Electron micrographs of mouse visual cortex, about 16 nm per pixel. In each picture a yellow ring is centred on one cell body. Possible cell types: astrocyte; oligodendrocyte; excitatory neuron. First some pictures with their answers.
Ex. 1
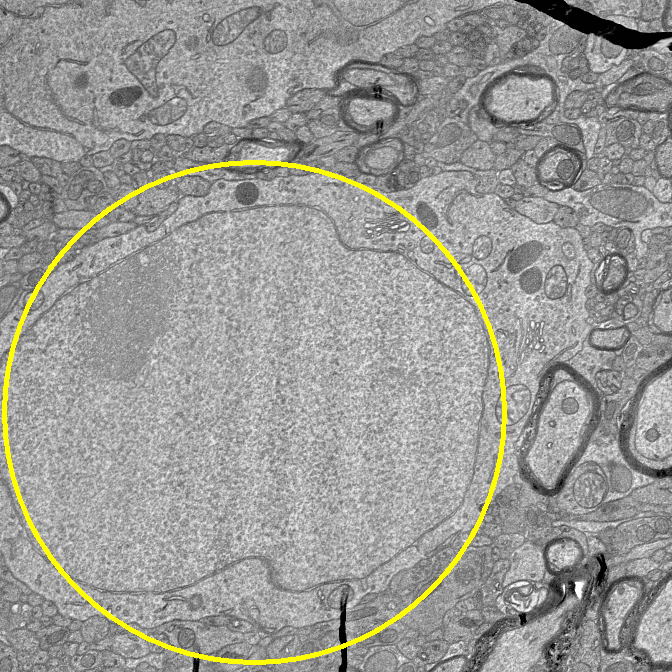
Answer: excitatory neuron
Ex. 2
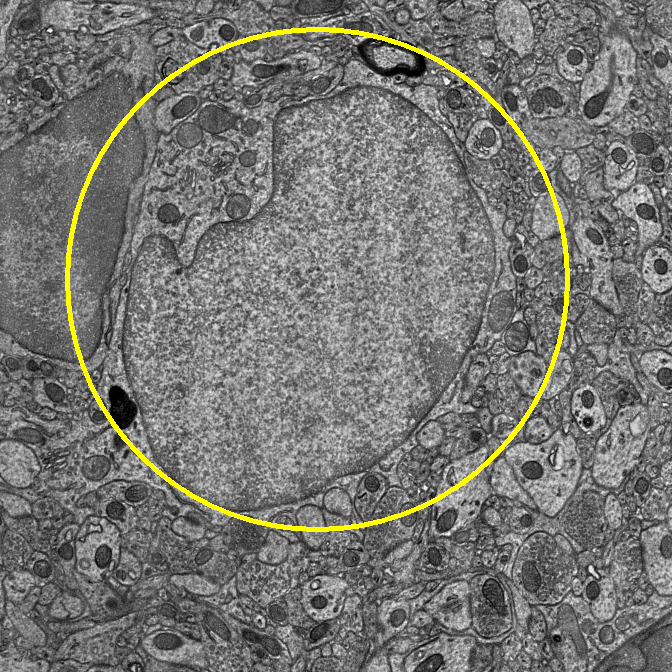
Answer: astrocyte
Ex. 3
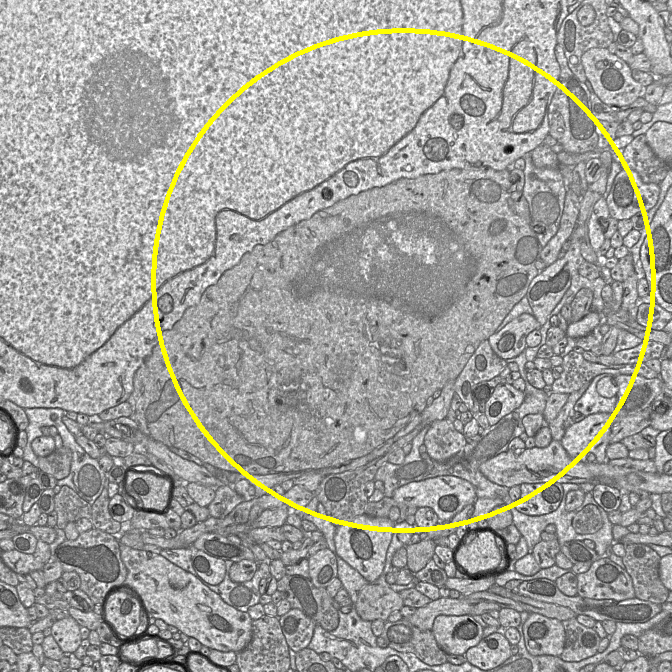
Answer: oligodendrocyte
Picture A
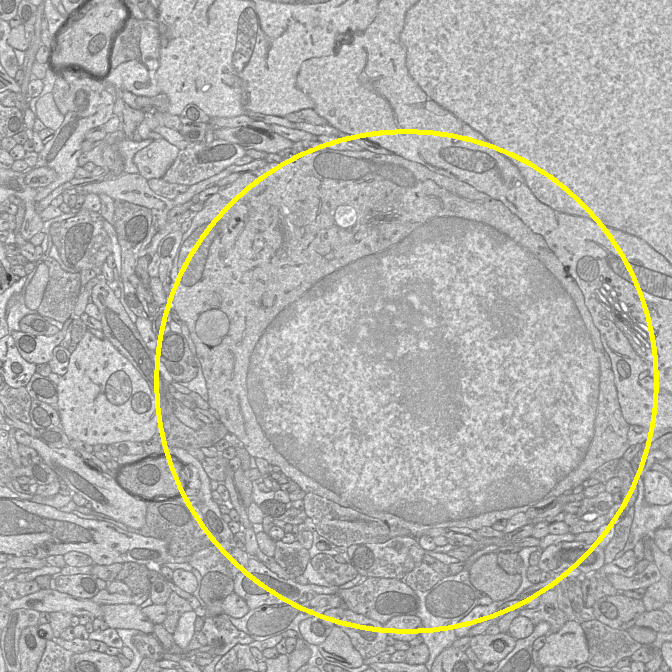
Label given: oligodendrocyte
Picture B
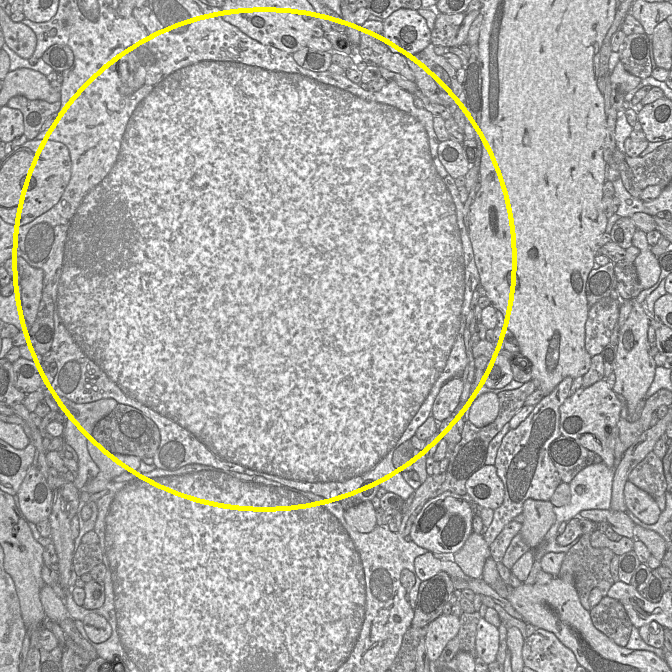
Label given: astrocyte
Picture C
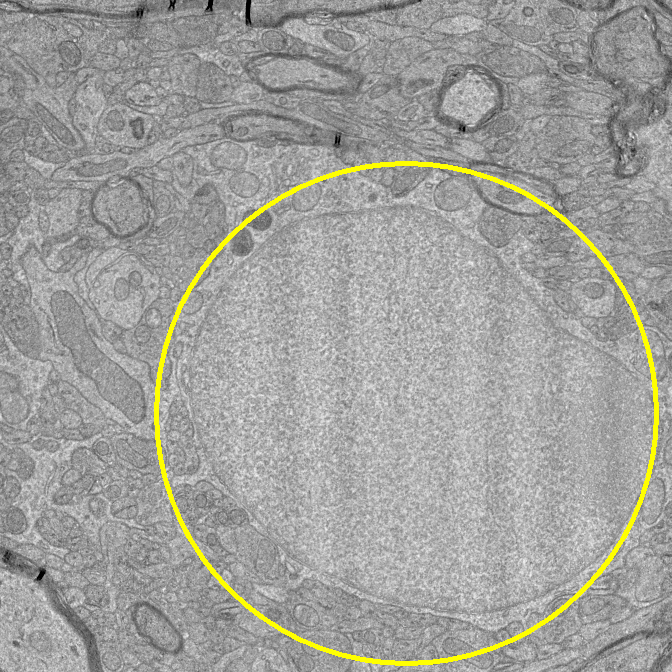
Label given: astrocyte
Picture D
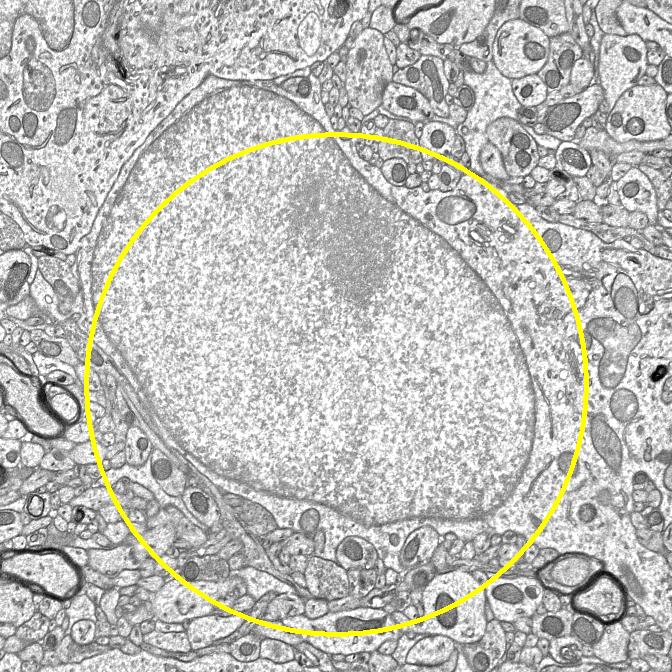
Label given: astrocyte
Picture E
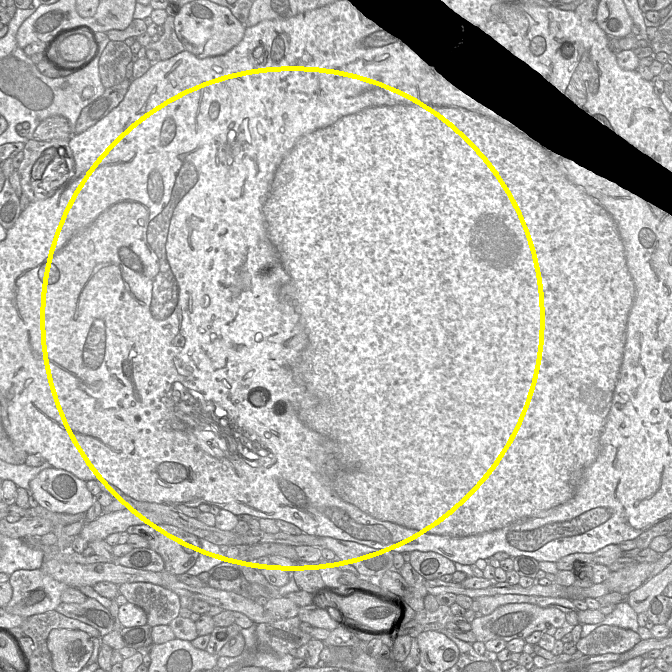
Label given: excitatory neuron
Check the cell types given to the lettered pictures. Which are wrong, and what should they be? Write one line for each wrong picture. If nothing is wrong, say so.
E is labelled excitatory neuron; correct label: oligodendrocyte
